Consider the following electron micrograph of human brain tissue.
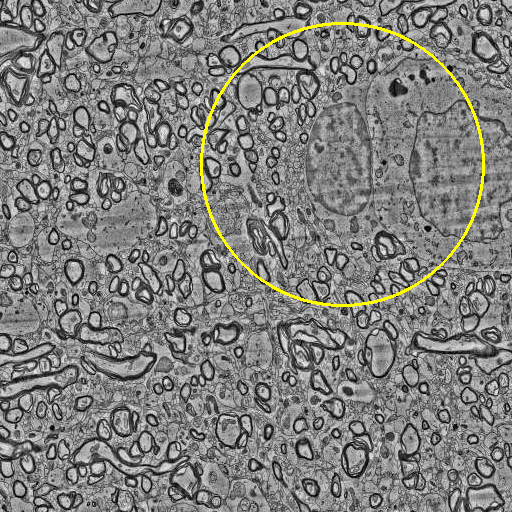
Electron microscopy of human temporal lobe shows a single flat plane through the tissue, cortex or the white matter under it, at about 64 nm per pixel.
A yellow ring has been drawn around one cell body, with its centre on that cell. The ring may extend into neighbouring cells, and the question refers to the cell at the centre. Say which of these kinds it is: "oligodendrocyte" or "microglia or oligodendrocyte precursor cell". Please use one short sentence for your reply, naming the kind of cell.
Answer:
The centre of the ring falls on an oligodendrocyte.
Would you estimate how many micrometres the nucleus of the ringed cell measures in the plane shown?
In this plane the nucleus measures roughly 7 by 4 micrometres.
